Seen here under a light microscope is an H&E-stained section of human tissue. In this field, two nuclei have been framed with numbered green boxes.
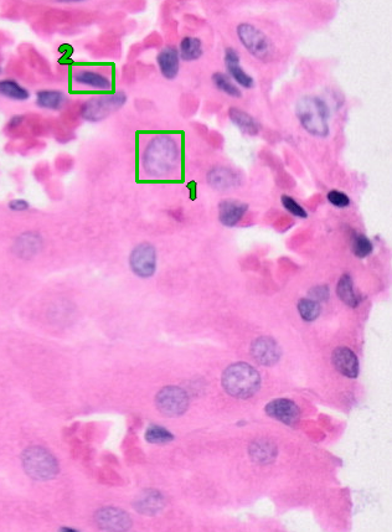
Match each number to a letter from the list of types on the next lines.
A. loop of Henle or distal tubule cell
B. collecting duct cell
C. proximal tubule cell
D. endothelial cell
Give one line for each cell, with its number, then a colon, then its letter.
1: C
2: D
